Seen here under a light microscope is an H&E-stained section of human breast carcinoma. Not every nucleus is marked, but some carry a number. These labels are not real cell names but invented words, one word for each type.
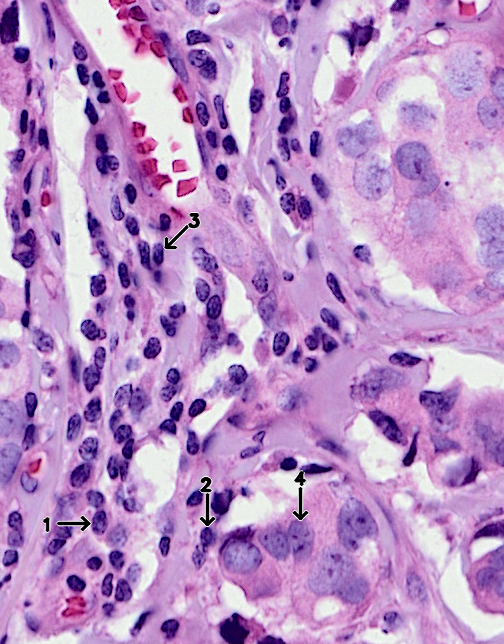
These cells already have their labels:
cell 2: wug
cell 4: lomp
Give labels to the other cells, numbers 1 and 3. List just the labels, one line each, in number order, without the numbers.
wug
wug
